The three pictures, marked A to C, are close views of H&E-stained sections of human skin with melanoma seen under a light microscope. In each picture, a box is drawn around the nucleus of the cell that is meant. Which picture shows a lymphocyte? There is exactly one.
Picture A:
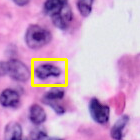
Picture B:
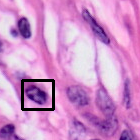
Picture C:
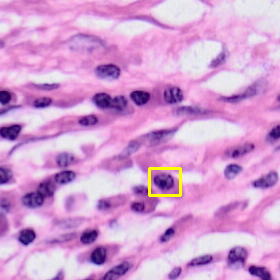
A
